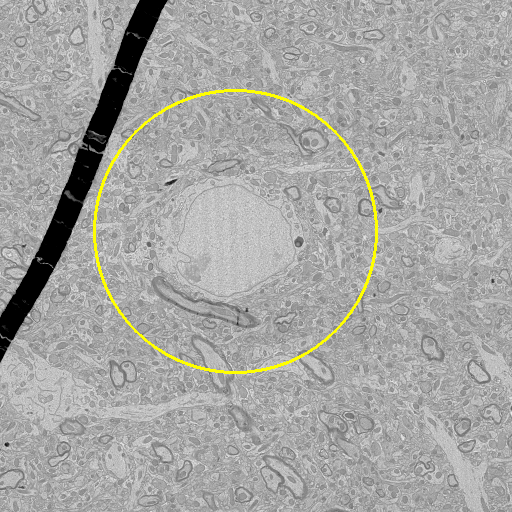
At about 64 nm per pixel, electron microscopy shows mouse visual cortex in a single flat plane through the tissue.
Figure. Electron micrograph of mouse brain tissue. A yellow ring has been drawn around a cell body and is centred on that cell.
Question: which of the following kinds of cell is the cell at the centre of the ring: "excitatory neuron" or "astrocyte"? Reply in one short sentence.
The cell at the centre of the ring is an excitatory neuron.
